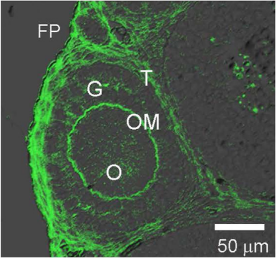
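This is a growing follicle in the ovary, with a large round oocyte in the middle, surrounded by several layers of granulosa cells and, on the outside, a sheath of flattened theca cells. A thin green line traces the oocyte's edge, a fainter green tinge lies among the granulosa cells, and the strongest green runs in the elongated theca cells wrapping the follicle and between neighbouring follicles.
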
